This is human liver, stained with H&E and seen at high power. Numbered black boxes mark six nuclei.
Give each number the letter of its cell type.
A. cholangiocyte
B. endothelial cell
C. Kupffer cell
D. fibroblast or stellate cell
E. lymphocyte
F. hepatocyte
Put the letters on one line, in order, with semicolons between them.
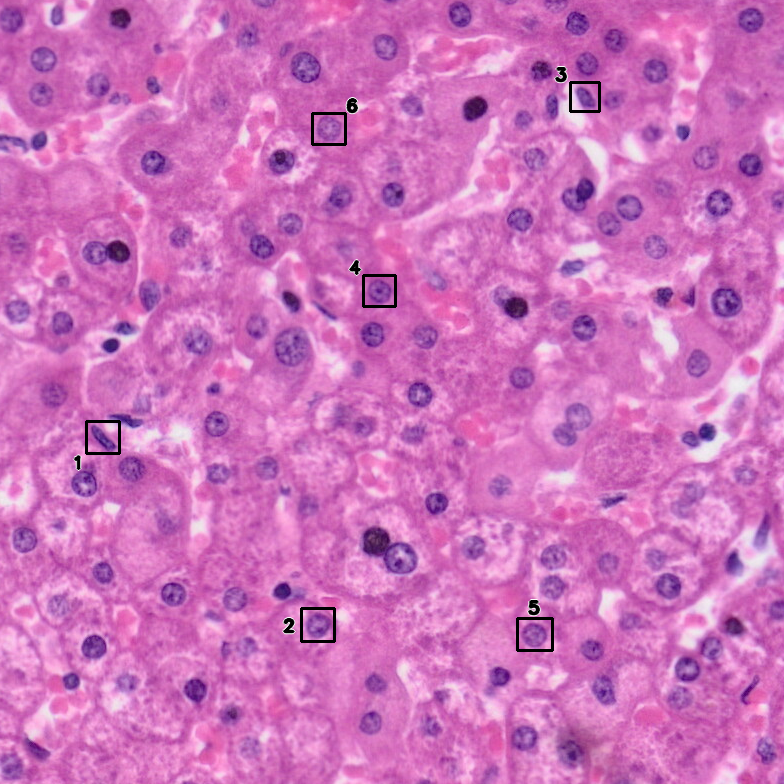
D; F; C; F; F; F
